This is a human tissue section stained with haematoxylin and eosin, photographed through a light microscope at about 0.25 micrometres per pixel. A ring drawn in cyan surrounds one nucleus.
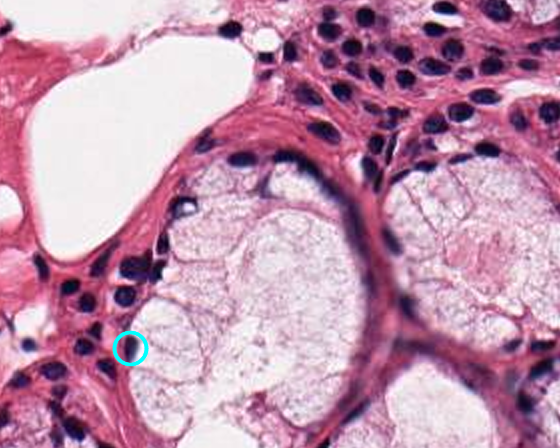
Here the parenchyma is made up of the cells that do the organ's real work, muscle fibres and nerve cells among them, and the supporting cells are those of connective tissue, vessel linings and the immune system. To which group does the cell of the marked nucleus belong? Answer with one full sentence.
It is a parenchymal cell, namely a mucous gland cell, to which the marked nucleus belongs.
